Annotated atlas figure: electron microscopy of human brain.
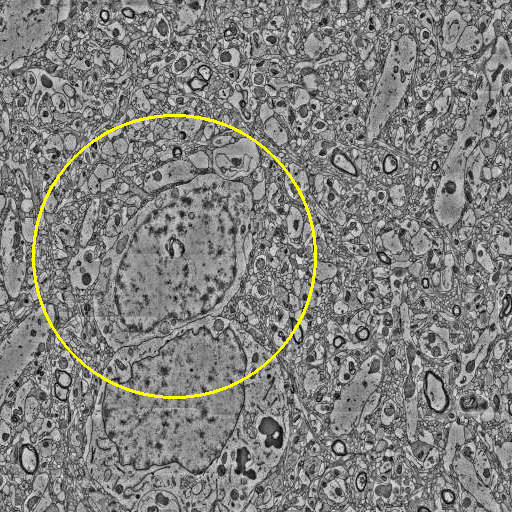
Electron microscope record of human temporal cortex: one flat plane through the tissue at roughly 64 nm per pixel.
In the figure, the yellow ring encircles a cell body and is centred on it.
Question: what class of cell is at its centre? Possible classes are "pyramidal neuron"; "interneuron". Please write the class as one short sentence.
The yellow ring is drawn around an interneuron.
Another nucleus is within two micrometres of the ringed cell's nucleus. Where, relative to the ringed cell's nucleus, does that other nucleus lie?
The other nucleus lies below it.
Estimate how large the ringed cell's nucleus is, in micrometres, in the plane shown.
In this plane the nucleus measures roughly 10 by 7 micrometers.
